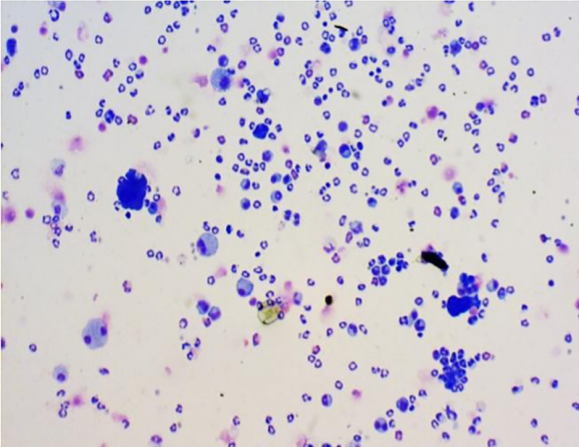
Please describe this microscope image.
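A crowded smear of bone marrow cells, stained blue-violet and pink, shows many small cells whose nuclei are ring-shaped or doughnut-like. Pale pink cytoplasmic material is spread between the cells.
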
